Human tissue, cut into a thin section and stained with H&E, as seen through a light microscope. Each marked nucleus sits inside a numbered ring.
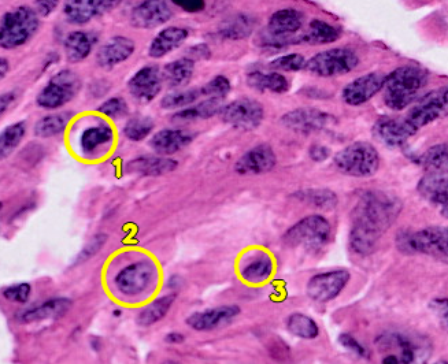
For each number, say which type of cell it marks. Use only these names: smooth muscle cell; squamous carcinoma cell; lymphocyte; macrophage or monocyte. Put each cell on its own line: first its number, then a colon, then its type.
1: lymphocyte
2: squamous carcinoma cell
3: squamous carcinoma cell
